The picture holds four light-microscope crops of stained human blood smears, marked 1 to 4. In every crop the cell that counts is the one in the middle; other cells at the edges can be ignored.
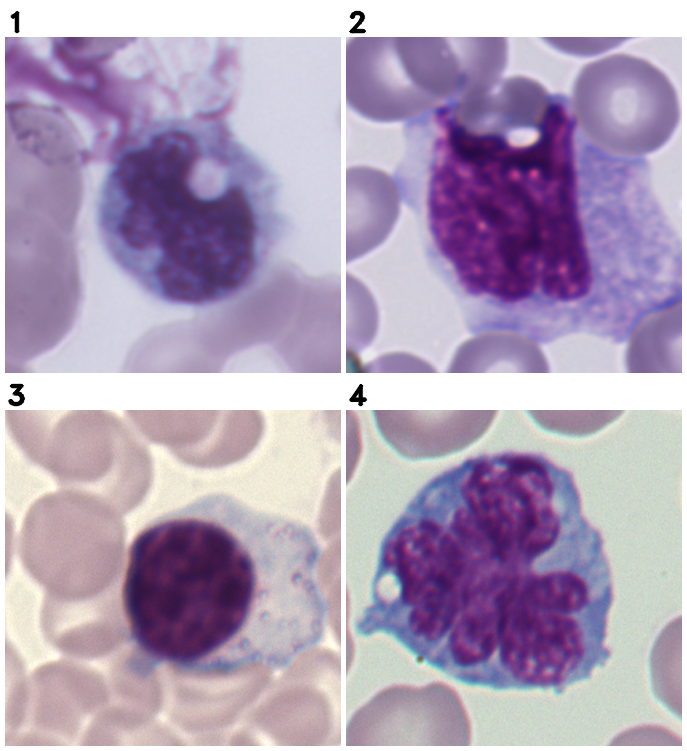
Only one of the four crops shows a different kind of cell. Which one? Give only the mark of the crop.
3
